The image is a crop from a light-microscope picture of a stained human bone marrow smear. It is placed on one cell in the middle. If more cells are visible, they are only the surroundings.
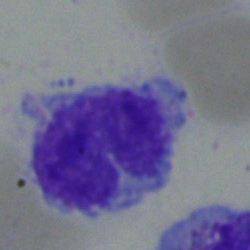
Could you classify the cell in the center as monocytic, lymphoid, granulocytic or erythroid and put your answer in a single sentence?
The middle cell of the crop arises from the monocytic lineage.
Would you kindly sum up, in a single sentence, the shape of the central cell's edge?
The cell membrane follows an uneven contour, either ragged or bearing projections.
